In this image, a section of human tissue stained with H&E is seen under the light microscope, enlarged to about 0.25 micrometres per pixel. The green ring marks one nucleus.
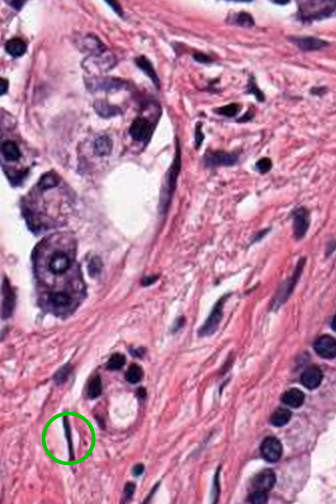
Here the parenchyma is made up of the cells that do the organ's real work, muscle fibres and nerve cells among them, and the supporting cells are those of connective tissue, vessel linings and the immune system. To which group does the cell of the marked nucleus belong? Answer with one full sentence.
The marked nucleus is designated as the nucleus of a supporting cell.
